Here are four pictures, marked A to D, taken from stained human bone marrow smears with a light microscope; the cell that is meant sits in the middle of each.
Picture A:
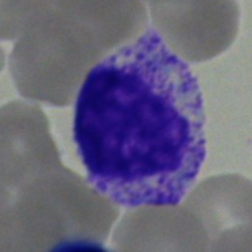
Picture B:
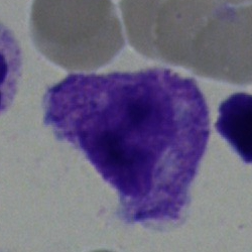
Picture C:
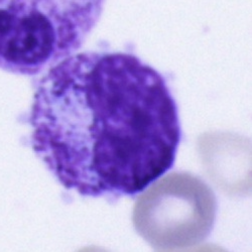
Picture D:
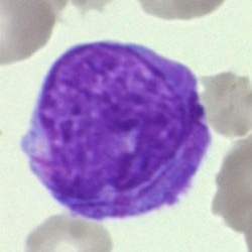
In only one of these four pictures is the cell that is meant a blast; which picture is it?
D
